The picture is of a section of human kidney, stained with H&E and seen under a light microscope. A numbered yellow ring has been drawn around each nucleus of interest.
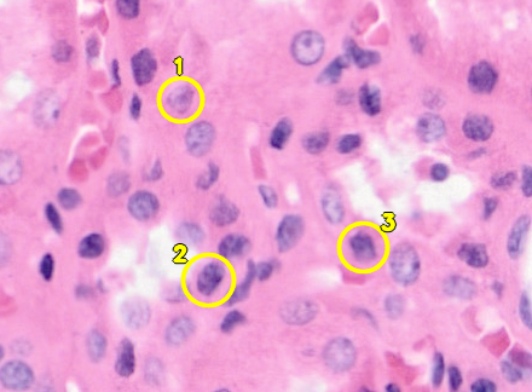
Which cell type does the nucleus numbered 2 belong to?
loop of Henle or distal tubule cell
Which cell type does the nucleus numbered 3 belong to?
loop of Henle or distal tubule cell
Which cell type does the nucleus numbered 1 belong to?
proximal tubule cell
